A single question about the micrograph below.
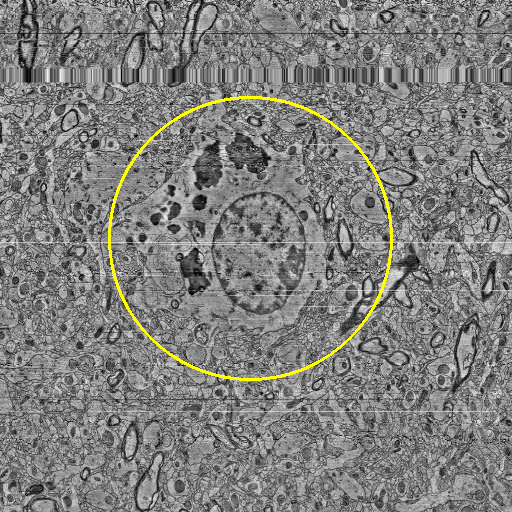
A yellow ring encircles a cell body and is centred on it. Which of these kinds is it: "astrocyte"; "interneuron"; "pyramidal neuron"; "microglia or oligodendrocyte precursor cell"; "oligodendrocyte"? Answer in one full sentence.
The cell body at the centre of the yellow ring belongs to an astrocyte.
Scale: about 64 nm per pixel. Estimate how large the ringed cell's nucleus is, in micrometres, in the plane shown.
In this plane the nucleus measures roughly 8 by 6 micrometers.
